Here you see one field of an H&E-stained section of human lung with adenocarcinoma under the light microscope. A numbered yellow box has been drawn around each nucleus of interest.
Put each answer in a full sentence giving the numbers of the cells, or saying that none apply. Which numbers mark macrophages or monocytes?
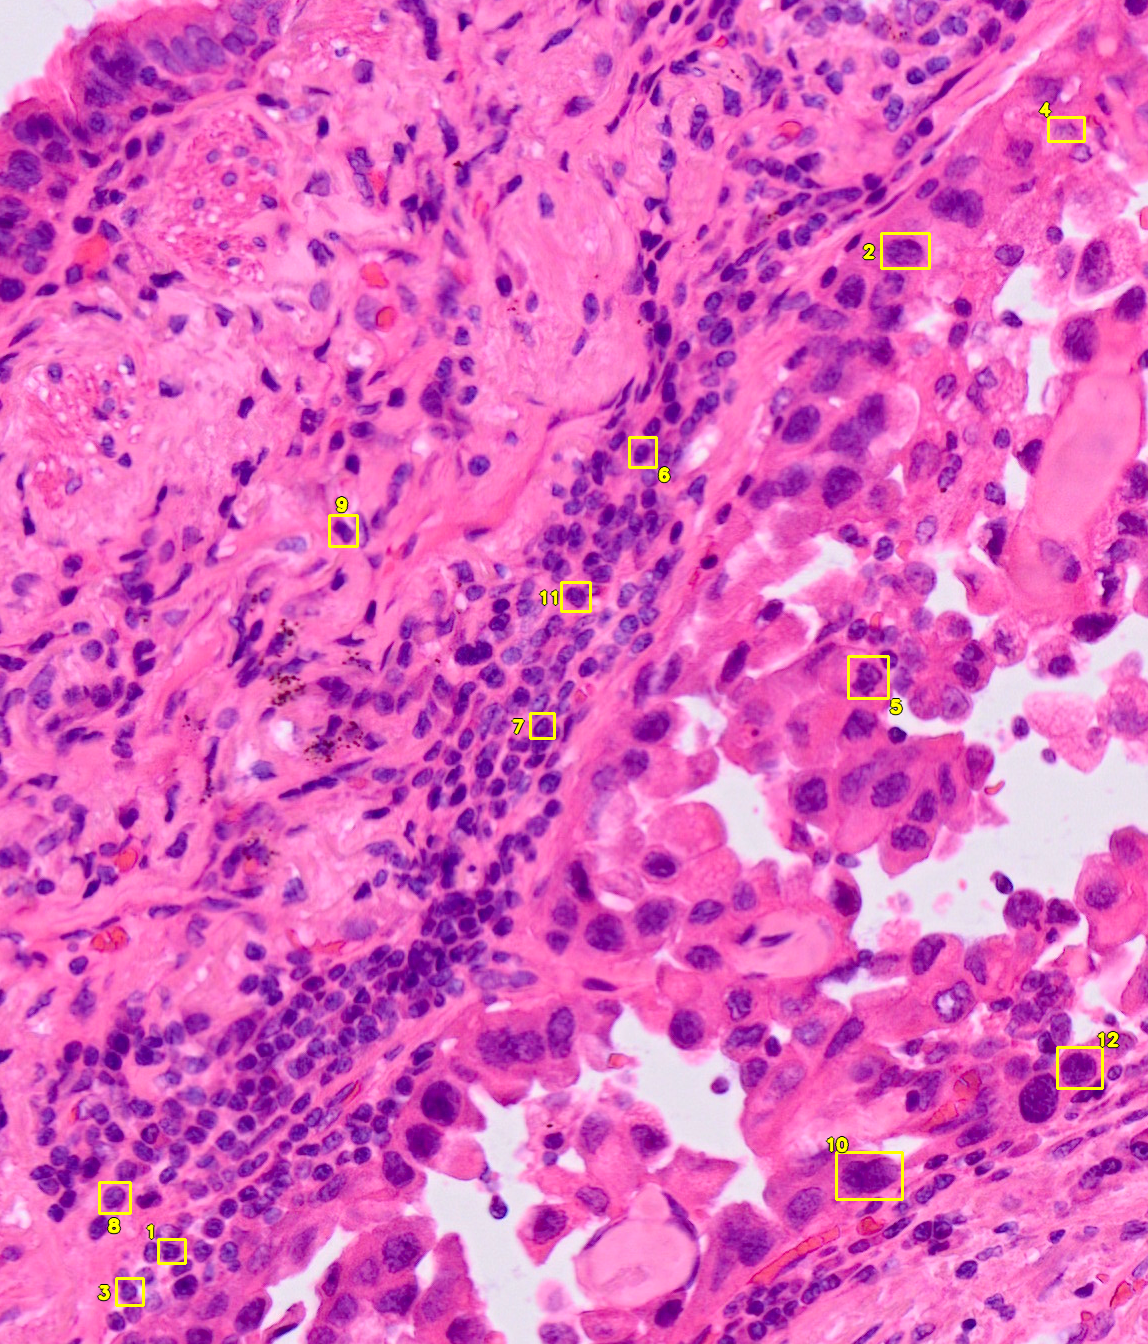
In short, cell 4 is a macrophage or monocyte; the others are not.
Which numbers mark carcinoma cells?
Cells 2, 5, 10 and 12 are carcinoma cells by cell type.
